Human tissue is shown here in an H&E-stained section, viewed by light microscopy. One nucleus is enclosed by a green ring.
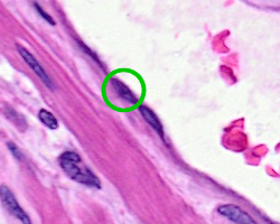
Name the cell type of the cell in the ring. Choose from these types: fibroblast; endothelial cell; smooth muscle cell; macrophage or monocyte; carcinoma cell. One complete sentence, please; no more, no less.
At the level of cell identity, the cell in the ring is an endothelial cell.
